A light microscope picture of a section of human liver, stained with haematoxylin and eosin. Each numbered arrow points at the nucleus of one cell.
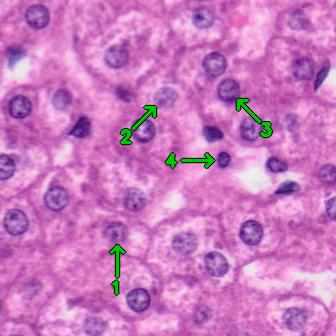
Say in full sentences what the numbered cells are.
Cells 1, 2 and 3 are hepatocytes. Cell 4 is a lymphocyte.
